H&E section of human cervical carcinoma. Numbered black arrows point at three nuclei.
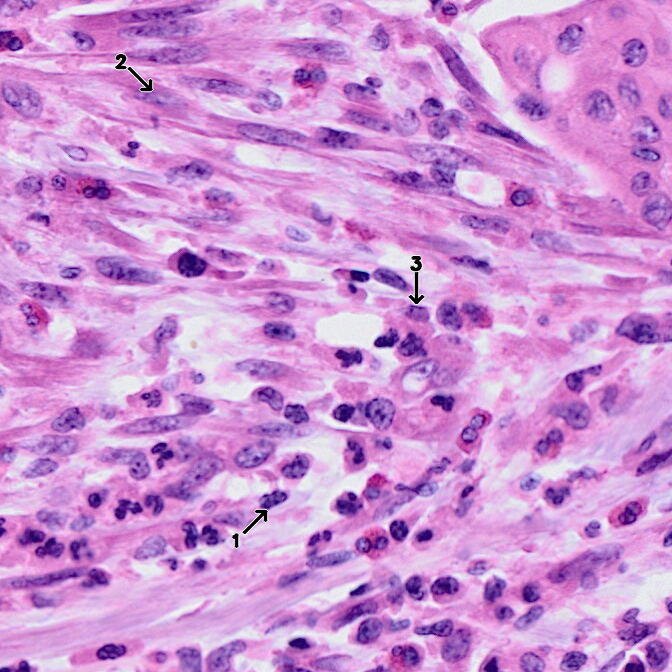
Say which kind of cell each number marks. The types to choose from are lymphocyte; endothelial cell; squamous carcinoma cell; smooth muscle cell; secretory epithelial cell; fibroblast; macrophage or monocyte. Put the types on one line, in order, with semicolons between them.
lymphocyte; fibroblast; macrophage or monocyte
